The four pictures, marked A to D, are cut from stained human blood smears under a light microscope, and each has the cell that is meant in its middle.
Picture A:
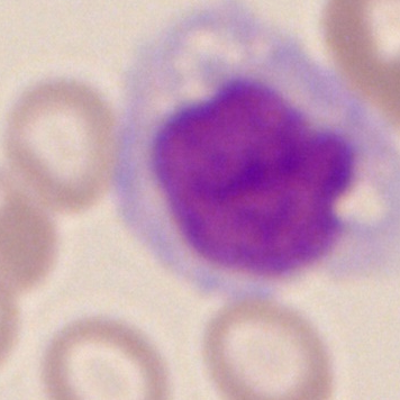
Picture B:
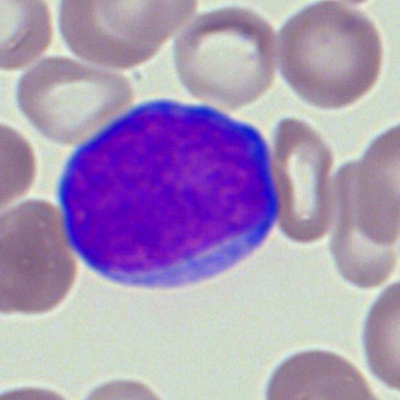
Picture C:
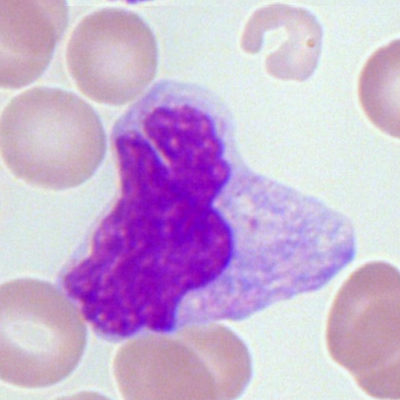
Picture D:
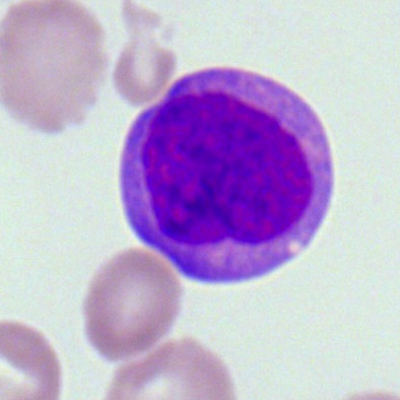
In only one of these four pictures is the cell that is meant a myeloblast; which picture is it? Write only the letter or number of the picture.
B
